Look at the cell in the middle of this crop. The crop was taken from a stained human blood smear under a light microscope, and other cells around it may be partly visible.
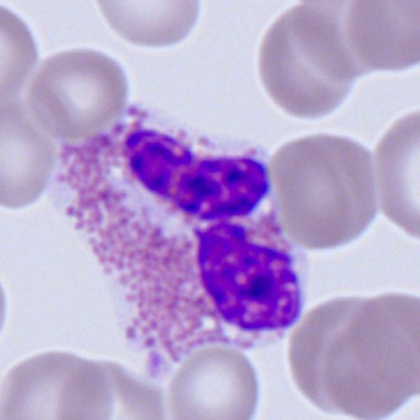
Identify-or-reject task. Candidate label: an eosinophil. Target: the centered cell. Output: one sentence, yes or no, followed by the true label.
Yes, the cell found in the middle is an eosinophil.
